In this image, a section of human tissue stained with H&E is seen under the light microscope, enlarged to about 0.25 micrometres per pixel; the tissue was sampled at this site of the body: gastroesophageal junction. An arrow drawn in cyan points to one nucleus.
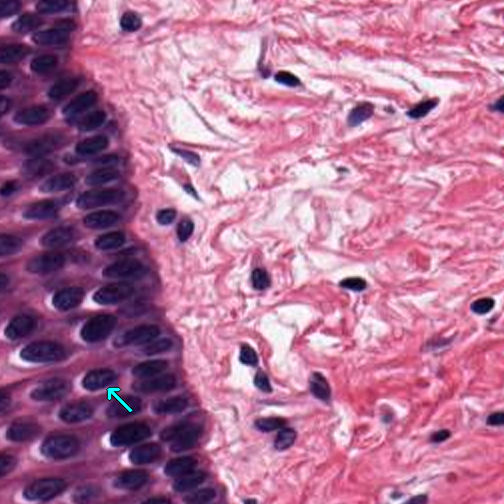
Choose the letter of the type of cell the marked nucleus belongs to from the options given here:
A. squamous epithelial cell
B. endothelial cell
A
